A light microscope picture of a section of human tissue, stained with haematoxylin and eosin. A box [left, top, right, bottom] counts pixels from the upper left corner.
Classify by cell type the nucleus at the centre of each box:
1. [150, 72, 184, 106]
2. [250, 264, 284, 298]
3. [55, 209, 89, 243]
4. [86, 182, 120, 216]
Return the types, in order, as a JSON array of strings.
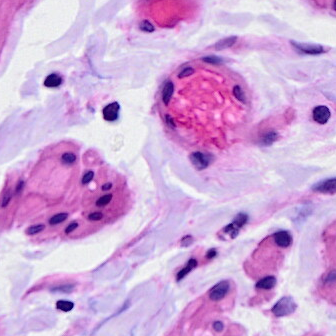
["endothelial cell", "smooth muscle cell", "smooth muscle cell", "smooth muscle cell"]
